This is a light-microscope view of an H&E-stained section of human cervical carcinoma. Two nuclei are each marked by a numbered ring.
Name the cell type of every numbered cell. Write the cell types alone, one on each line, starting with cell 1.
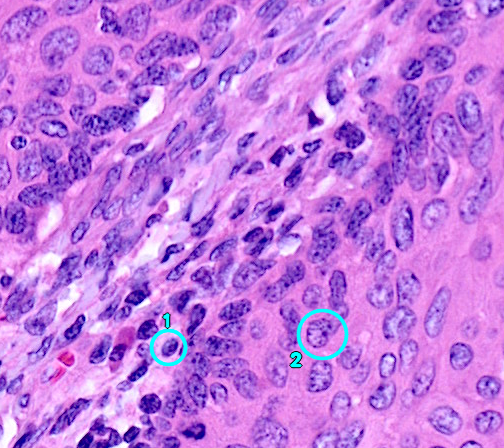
lymphocyte
squamous carcinoma cell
